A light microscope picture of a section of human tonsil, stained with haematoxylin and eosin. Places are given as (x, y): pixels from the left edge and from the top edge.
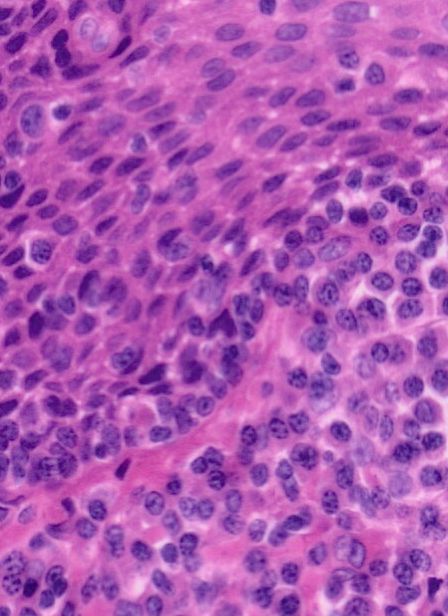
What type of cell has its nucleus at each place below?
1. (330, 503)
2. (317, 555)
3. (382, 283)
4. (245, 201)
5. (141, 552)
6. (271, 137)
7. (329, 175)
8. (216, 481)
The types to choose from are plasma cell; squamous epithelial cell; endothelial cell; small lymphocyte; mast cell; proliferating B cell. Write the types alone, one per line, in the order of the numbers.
plasma cell
plasma cell
plasma cell
squamous epithelial cell
plasma cell
squamous epithelial cell
squamous epithelial cell
plasma cell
